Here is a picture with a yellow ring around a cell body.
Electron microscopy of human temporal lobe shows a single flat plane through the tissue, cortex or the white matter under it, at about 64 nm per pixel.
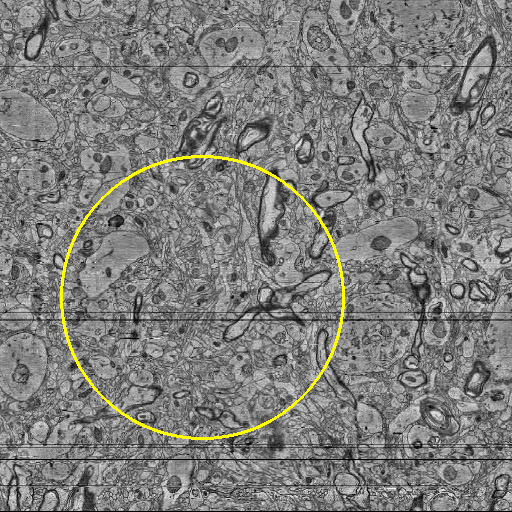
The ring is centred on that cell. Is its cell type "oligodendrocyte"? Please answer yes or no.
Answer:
yes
